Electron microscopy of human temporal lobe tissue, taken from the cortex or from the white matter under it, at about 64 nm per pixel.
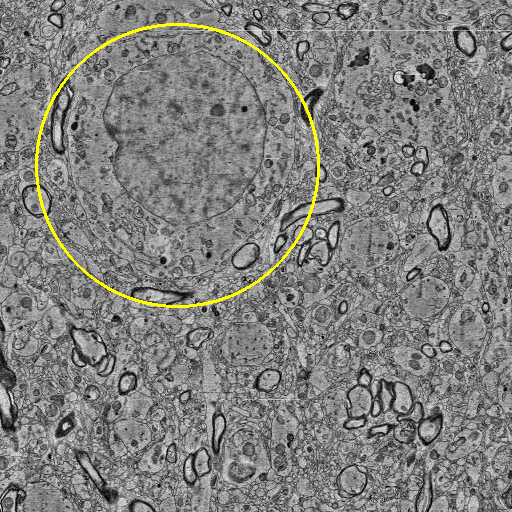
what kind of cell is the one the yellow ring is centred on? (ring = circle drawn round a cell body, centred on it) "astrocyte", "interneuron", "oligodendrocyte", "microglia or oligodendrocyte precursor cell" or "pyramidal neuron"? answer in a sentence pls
The ring is drawn around an interneuron.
